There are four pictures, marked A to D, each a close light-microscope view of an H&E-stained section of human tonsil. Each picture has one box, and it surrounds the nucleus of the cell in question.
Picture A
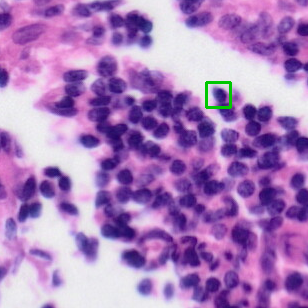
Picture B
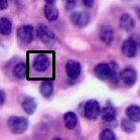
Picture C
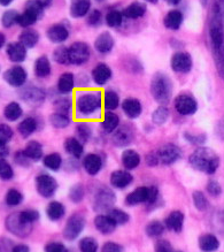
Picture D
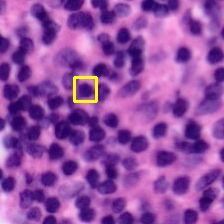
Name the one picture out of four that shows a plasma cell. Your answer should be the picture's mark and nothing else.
B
